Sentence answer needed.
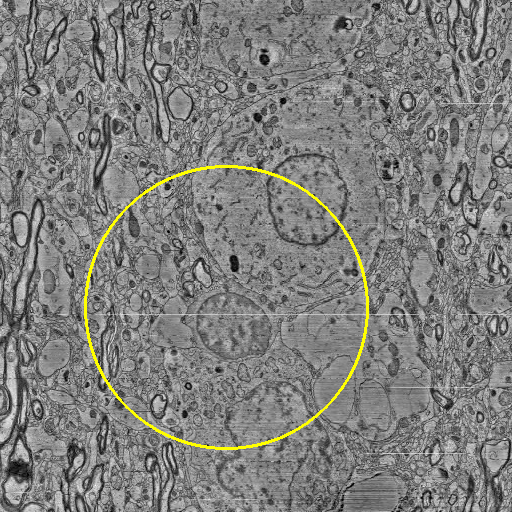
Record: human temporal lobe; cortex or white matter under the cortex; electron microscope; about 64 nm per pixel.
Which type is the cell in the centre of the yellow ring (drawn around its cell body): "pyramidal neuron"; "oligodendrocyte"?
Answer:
In the centre of the yellow ring is an oligodendrocyte.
